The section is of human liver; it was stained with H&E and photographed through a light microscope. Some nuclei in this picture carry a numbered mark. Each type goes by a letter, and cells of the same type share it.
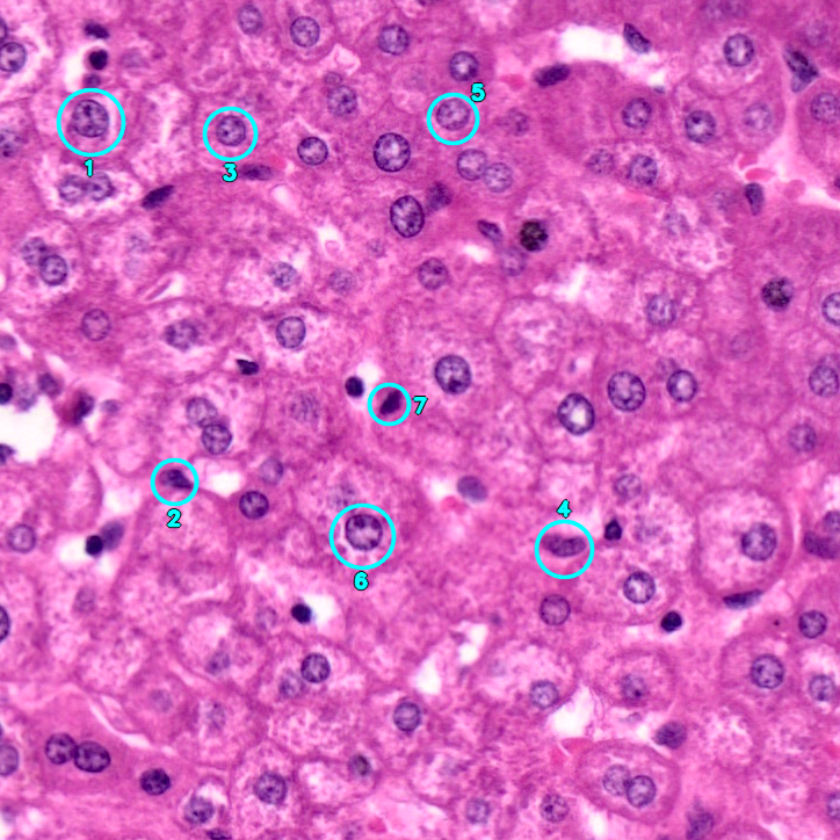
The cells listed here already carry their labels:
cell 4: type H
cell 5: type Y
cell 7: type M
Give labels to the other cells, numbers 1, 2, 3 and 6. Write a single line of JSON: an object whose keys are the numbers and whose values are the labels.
{"1": "type Y", "2": "type M", "3": "type Y", "6": "type Y"}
